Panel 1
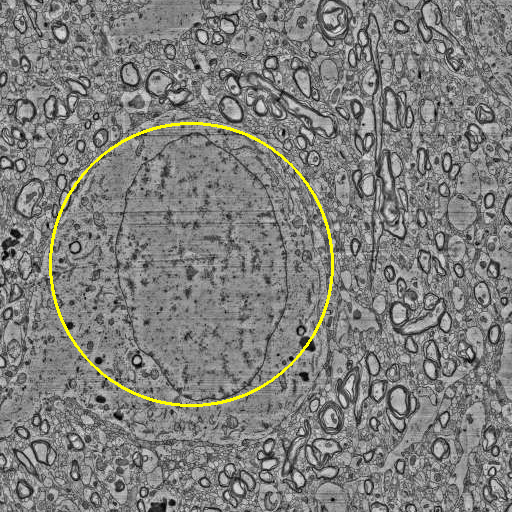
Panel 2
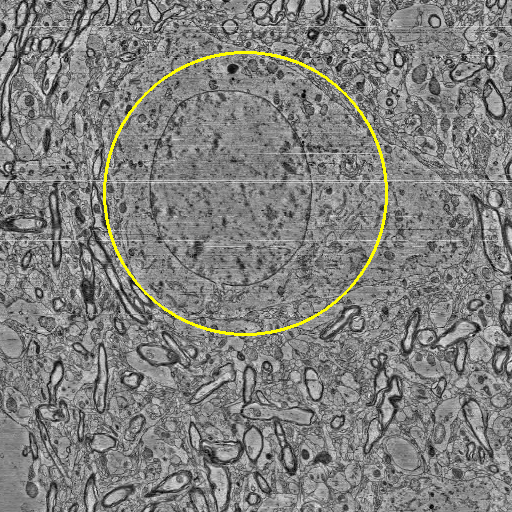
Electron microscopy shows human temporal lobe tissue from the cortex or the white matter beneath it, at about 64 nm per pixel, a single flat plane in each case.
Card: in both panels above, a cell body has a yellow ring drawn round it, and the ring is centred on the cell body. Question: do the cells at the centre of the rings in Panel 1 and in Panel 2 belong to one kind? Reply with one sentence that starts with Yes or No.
Yes, the cells centred in the rings of Panel 1 and Panel 2 are one kind of cell.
